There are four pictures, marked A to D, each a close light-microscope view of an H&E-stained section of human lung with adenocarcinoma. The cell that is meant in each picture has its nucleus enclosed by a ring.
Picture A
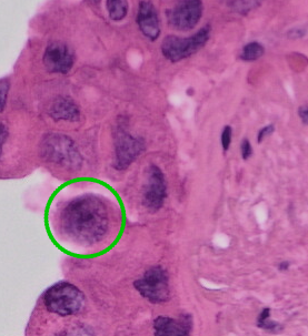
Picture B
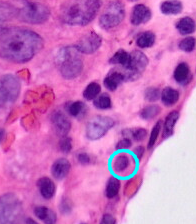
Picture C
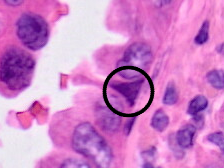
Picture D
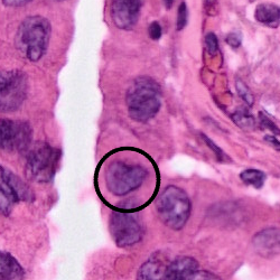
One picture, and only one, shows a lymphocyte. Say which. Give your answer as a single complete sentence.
Picture B shows the lymphocyte.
